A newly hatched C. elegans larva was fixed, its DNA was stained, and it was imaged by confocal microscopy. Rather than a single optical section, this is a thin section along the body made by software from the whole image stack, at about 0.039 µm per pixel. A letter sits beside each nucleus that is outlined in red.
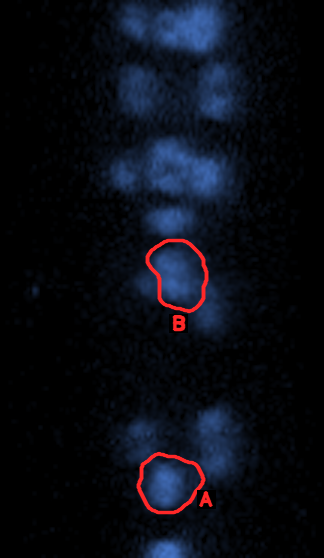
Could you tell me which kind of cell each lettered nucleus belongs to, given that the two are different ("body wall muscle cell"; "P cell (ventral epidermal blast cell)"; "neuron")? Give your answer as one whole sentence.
A belongs to a neuron and B to a body wall muscle cell.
